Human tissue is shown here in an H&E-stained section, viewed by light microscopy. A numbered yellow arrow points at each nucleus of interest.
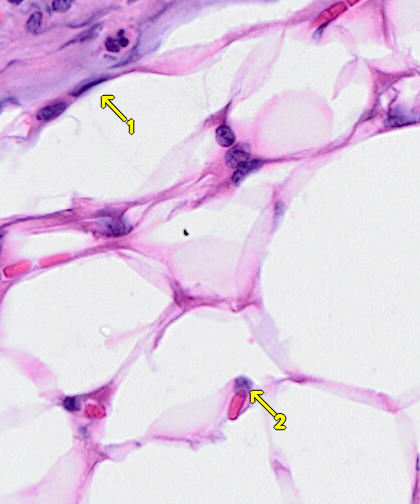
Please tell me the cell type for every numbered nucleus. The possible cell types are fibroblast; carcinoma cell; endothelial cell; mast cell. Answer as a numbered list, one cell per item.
1. fibroblast
2. endothelial cell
